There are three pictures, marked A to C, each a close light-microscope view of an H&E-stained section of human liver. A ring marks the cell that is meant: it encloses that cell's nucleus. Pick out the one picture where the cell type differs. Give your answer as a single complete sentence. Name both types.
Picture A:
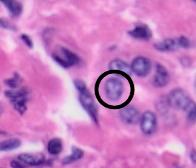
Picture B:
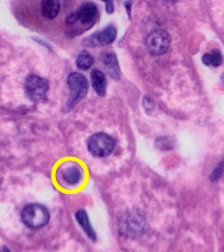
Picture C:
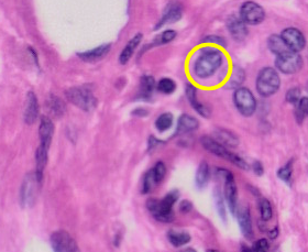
All pictures except B show cholangiocytes; picture B shows a lymphocyte.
